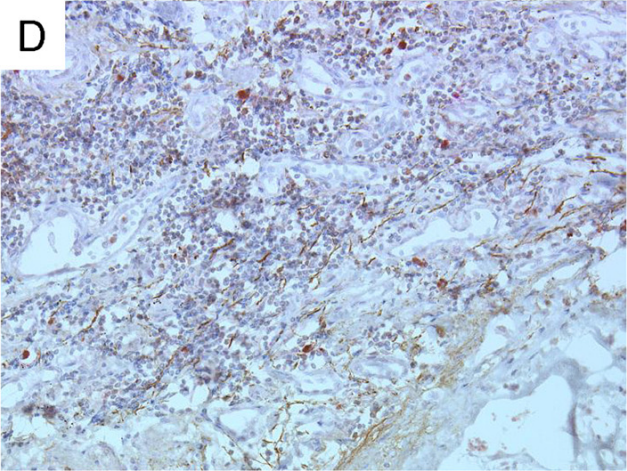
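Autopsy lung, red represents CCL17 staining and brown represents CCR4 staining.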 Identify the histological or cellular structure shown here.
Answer: Lymphoid clusters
